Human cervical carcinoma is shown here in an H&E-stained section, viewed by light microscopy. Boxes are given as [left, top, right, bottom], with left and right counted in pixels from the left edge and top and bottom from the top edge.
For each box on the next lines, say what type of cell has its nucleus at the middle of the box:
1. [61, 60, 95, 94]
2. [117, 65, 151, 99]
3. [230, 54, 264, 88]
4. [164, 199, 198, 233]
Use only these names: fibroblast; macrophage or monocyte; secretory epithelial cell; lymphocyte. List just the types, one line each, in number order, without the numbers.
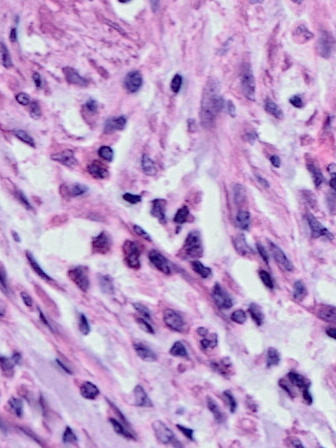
fibroblast
lymphocyte
fibroblast
lymphocyte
